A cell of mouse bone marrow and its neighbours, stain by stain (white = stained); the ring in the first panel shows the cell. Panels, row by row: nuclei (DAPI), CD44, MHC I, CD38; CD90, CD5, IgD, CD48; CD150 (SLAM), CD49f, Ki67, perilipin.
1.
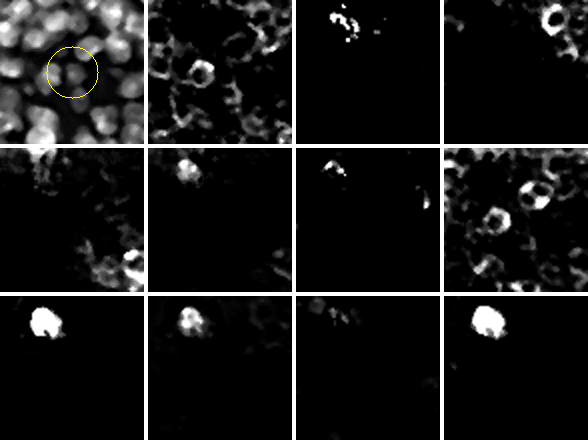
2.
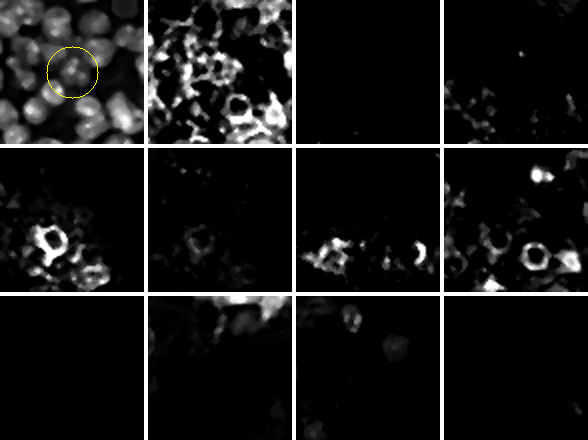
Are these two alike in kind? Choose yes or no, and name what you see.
Yes. Neutrophils.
